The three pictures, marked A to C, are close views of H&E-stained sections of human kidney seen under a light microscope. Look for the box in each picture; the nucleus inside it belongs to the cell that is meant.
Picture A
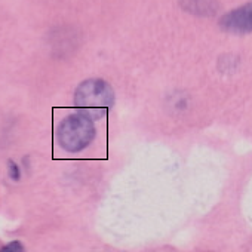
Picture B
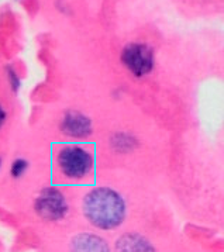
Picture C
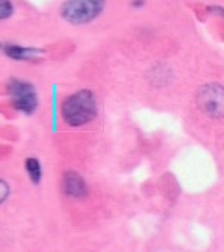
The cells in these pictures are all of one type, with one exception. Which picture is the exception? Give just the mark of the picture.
B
